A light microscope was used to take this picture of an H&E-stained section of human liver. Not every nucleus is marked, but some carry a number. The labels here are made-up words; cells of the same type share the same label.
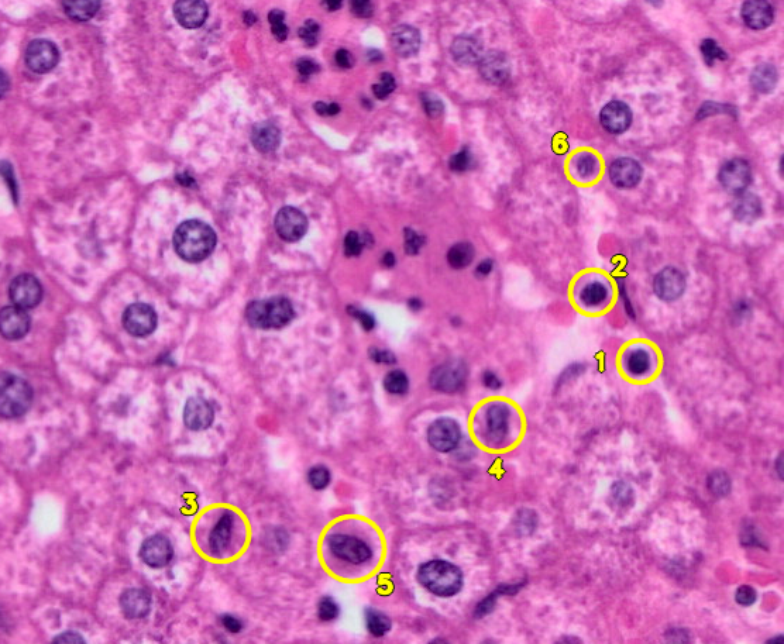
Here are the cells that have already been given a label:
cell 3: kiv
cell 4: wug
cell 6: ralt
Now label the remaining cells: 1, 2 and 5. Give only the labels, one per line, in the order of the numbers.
ralt
ralt
wug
